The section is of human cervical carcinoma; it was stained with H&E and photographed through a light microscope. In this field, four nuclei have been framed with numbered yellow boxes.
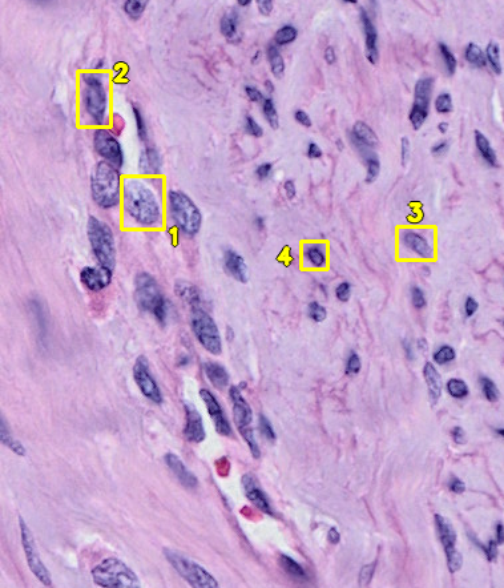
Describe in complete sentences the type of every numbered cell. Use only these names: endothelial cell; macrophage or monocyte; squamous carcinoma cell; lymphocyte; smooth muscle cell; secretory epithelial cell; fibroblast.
Cell 1 is an endothelial cell, cell 2 is an endothelial cell, cell 3 is a smooth muscle cell and cell 4 is a smooth muscle cell.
